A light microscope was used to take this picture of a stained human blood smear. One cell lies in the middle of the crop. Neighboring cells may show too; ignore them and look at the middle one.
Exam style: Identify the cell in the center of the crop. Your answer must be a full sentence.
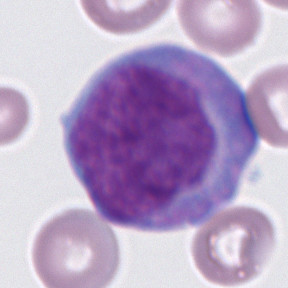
The cell sitting right in the middle is an atypical promyelocyte.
